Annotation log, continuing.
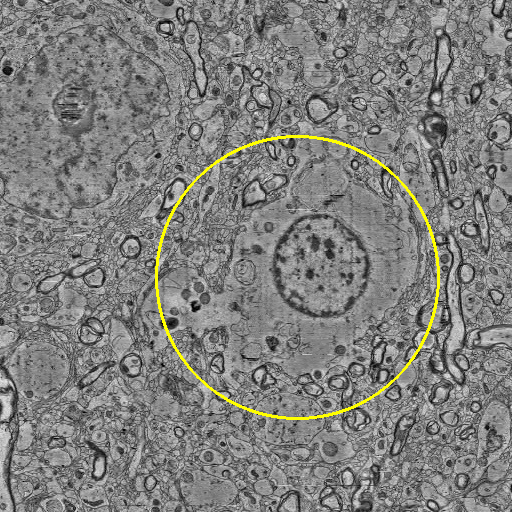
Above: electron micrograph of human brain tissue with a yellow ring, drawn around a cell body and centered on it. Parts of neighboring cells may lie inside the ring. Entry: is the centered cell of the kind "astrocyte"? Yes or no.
Yes, the centered cell is of that kind.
